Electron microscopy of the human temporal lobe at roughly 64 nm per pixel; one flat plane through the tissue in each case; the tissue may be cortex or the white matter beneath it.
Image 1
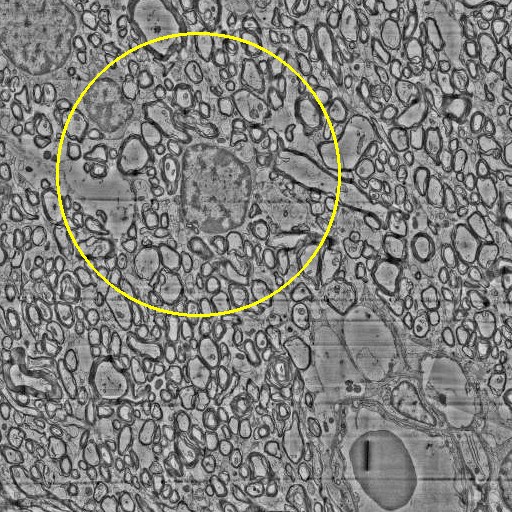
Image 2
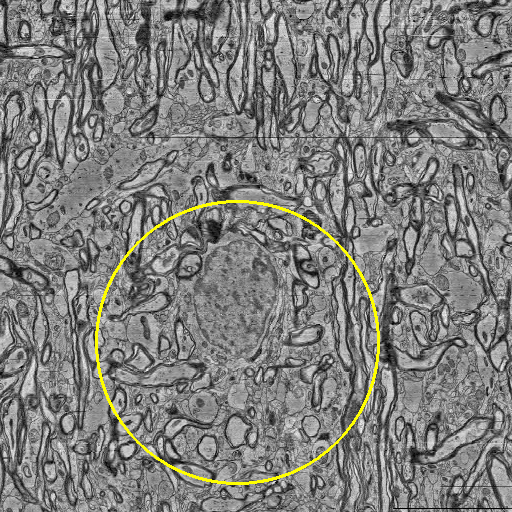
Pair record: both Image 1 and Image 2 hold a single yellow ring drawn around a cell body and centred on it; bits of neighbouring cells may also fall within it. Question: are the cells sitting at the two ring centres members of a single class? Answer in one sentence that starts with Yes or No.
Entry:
Yes, both ring-centre cells in Image 1 and Image 2 are members of one class.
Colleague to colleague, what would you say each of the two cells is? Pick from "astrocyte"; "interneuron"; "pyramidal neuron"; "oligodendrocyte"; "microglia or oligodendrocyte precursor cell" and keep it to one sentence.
Each one of the two ringed cells is an oligodendrocyte.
